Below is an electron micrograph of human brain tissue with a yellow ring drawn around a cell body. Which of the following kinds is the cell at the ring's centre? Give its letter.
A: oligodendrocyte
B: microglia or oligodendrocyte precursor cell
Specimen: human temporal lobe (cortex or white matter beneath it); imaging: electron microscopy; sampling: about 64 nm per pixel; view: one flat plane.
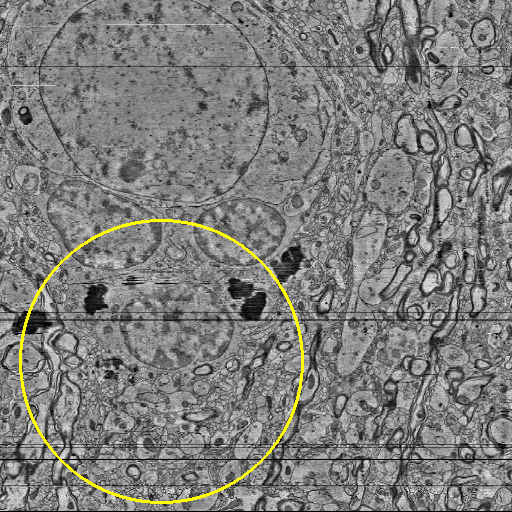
A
